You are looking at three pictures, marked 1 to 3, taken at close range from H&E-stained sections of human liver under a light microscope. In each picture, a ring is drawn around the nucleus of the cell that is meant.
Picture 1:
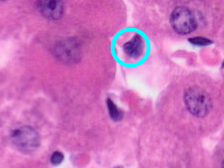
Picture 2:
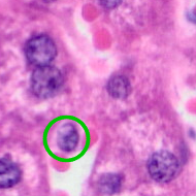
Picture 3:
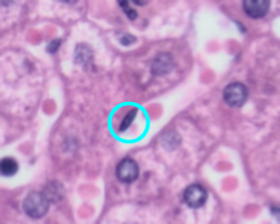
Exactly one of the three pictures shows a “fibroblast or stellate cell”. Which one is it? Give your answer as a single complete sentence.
The “fibroblast or stellate cell” is the one in picture 1.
